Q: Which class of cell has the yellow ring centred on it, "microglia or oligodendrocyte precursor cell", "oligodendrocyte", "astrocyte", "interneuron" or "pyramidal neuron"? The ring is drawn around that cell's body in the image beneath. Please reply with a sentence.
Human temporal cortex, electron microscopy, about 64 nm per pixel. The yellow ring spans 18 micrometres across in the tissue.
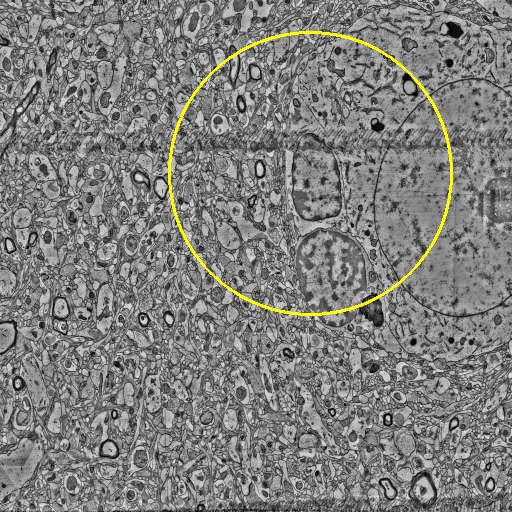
It is centred on a microglial cell or oligodendrocyte precursor cell.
